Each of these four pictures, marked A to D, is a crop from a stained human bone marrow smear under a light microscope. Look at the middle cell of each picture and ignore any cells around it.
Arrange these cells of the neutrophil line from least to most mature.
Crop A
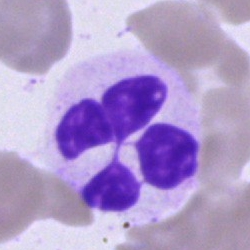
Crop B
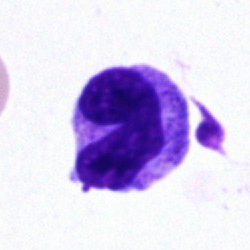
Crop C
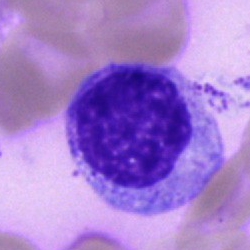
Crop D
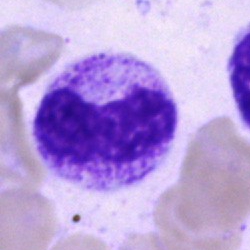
C, D, B, A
